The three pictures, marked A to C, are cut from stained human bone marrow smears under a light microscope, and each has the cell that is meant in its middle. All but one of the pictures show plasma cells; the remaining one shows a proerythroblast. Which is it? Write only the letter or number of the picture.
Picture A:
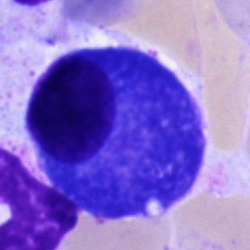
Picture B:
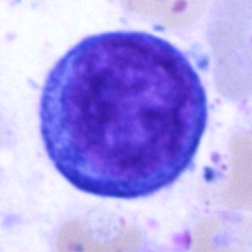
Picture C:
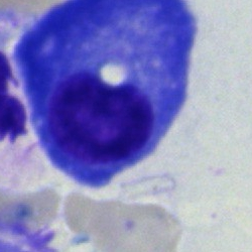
B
